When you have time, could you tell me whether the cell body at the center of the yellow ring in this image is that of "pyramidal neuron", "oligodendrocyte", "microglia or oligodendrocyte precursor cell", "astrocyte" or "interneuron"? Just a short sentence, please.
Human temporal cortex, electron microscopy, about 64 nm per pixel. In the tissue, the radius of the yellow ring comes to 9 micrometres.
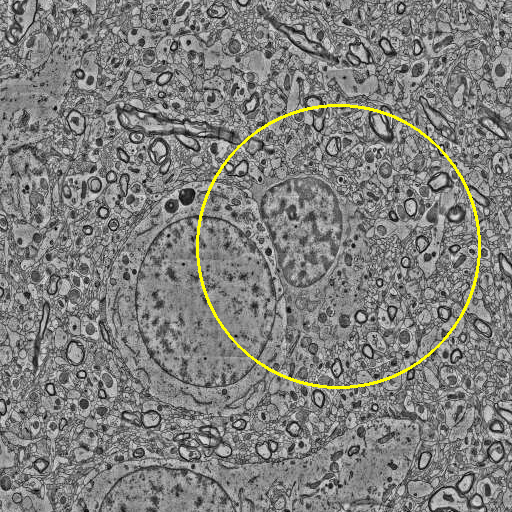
The cell body at the center of the ring is that of an oligodendrocyte.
